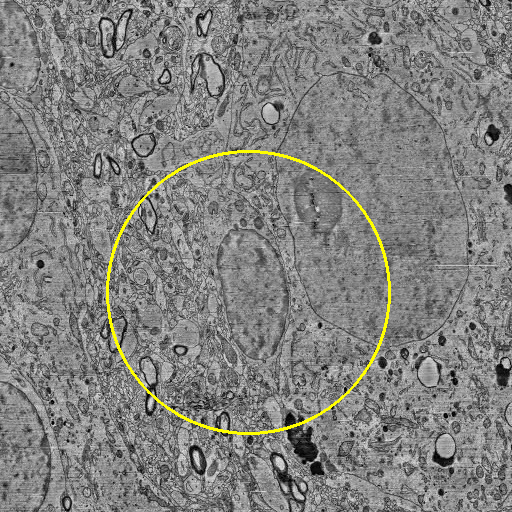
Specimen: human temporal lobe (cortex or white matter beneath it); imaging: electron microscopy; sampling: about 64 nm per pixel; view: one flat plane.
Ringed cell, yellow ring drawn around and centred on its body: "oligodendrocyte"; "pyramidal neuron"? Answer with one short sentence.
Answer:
This ringed cell is an oligodendrocyte.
